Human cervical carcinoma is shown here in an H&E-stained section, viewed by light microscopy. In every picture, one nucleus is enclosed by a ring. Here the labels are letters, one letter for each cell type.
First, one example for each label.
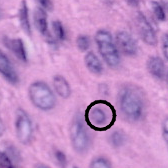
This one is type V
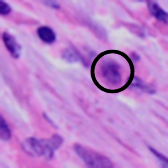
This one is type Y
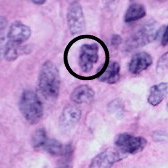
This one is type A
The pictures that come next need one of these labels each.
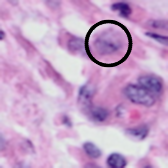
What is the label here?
type Y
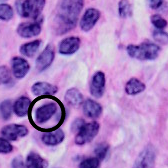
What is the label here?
type A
